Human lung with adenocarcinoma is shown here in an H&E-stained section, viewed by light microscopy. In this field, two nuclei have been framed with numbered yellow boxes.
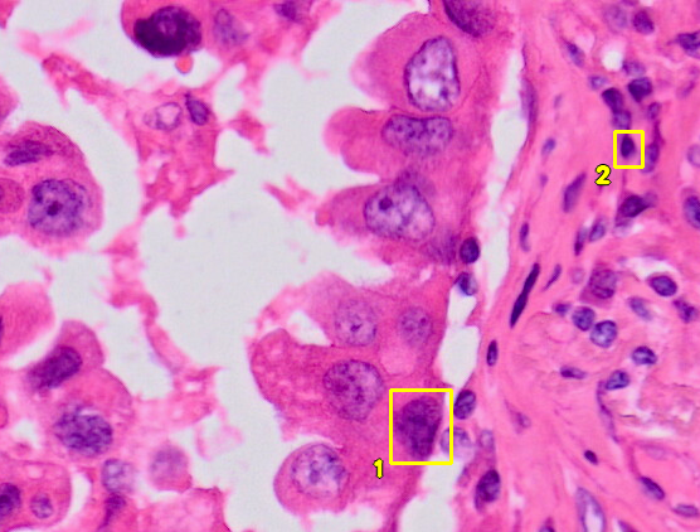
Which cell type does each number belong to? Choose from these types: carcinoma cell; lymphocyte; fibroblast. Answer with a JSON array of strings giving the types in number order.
["carcinoma cell", "lymphocyte"]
